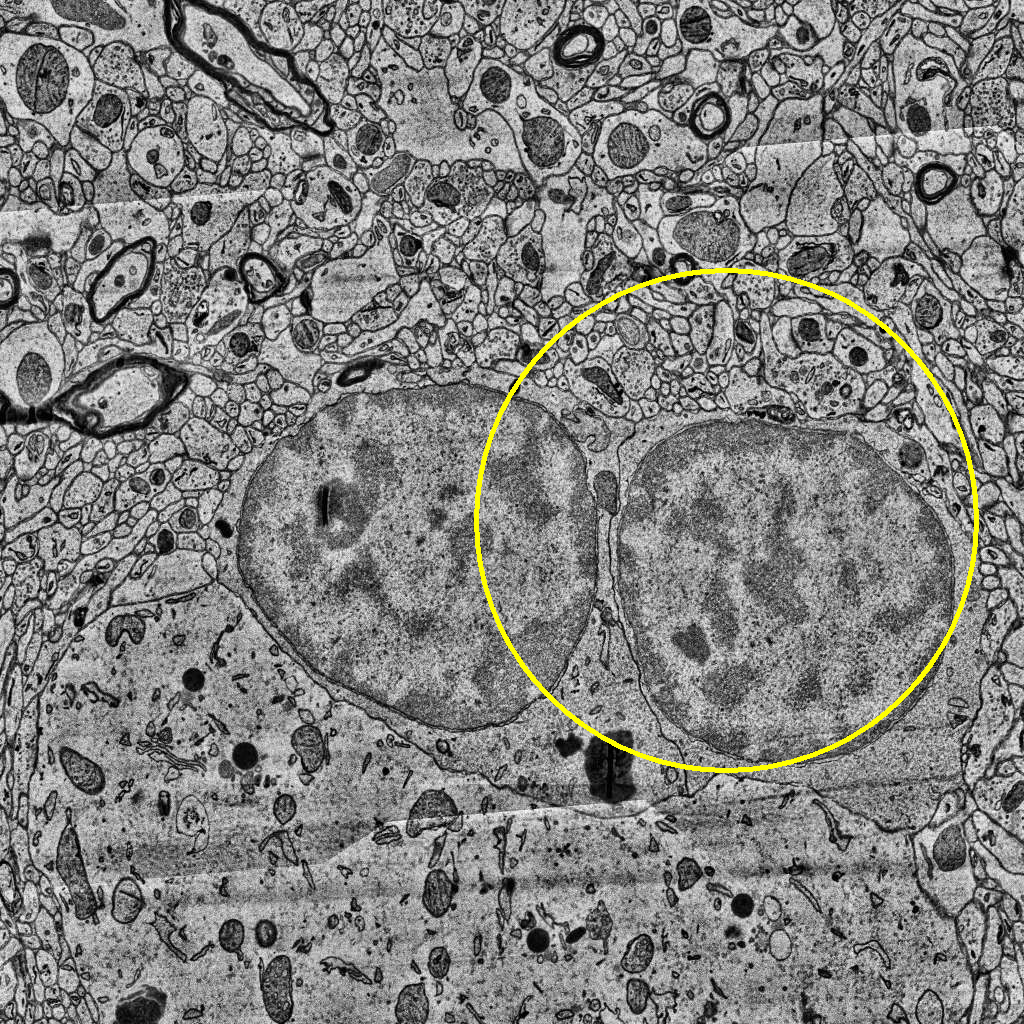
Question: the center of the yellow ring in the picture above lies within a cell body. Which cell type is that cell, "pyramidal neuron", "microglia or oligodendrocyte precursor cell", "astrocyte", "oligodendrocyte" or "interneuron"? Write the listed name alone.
oligodendrocyte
